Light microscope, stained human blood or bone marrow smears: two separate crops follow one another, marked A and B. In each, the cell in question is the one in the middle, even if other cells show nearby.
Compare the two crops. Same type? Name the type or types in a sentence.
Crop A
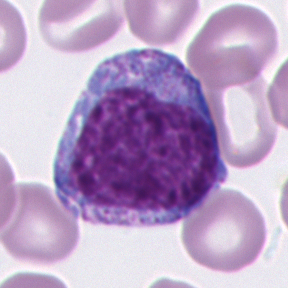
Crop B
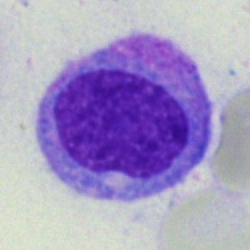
No: a promyelocyte sits in crop A, and a monocyte sits in crop B.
